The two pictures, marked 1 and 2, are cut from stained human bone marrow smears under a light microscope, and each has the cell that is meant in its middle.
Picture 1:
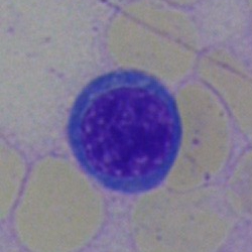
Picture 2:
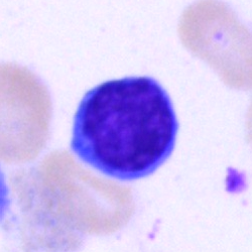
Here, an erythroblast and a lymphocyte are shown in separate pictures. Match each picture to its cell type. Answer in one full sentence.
The cell in picture 1 is an erythroblast, and the one in picture 2 is a lymphocyte.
